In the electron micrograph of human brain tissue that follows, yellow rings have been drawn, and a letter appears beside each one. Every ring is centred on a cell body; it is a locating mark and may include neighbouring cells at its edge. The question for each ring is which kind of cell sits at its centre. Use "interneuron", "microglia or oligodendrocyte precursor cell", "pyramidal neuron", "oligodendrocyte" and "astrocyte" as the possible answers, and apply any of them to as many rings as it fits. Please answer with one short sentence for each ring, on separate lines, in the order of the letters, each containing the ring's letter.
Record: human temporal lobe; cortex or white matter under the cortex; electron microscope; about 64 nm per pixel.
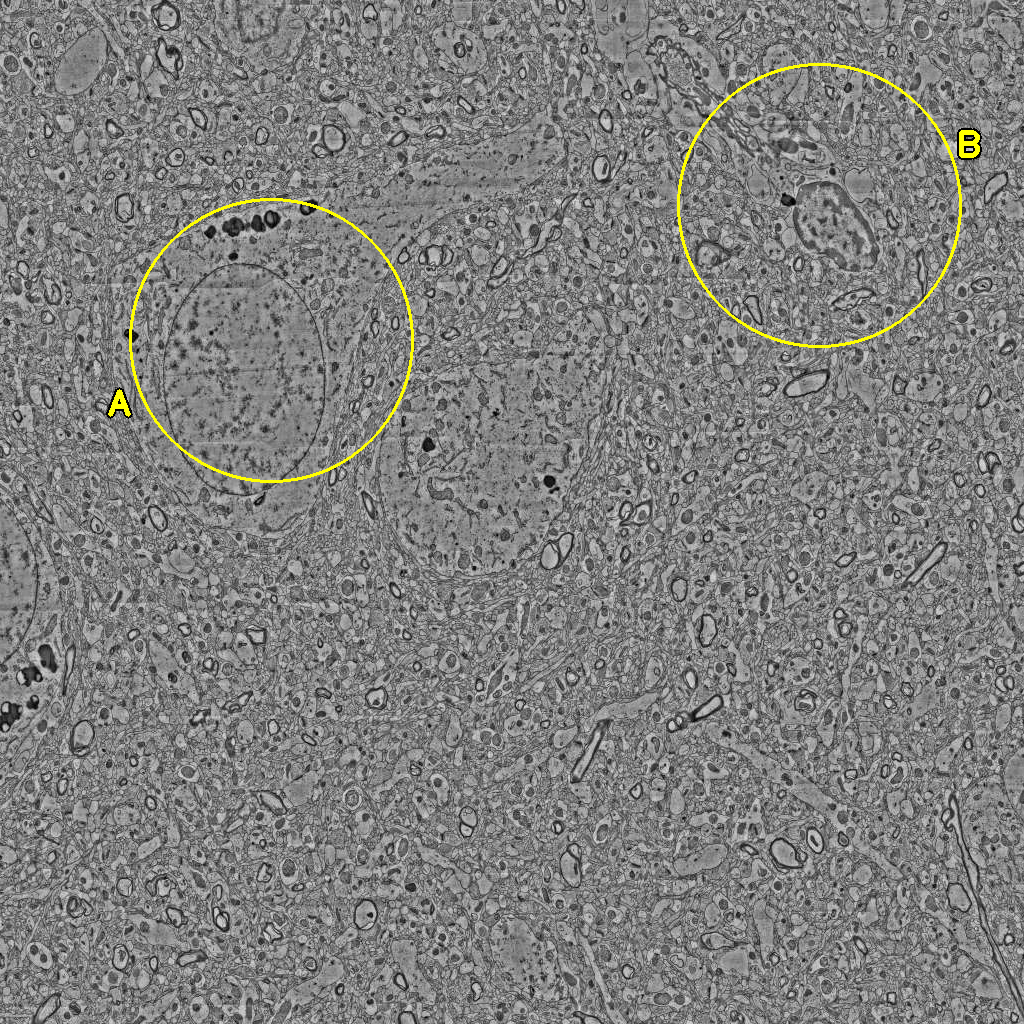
Sitting at the centre of ring A is a pyramidal neuron.
Sitting at the centre of ring B is a microglial cell or oligodendrocyte precursor cell.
